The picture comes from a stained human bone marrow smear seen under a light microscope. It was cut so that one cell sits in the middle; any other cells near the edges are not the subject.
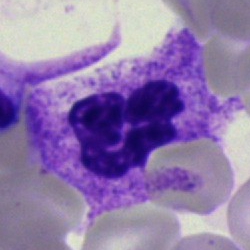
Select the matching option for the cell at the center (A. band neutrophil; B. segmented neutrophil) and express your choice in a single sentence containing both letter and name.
The middle cell of the crop is a segmented neutrophil; accordingly, option B is correct.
